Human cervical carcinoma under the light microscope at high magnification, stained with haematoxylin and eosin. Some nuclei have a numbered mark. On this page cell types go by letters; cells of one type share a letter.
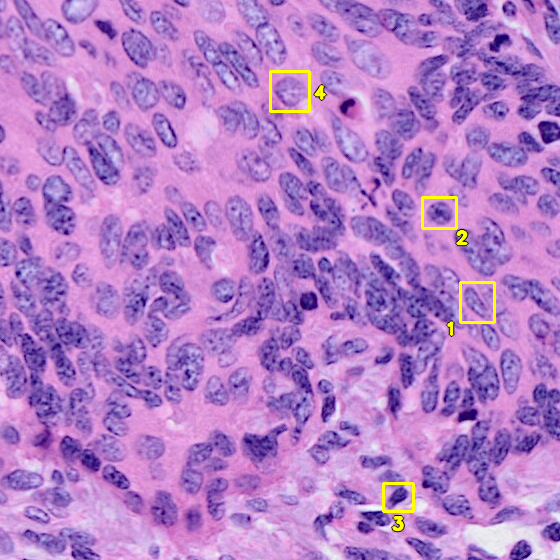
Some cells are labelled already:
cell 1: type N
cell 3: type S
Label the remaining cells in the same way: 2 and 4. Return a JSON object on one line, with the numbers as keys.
{"2": "type N", "4": "type N"}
